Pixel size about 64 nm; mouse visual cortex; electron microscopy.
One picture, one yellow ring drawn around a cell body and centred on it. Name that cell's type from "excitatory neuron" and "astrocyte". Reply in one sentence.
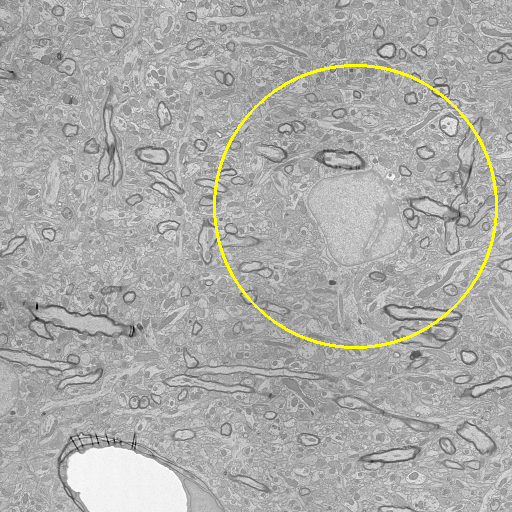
Centred in the ring is an astrocyte.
